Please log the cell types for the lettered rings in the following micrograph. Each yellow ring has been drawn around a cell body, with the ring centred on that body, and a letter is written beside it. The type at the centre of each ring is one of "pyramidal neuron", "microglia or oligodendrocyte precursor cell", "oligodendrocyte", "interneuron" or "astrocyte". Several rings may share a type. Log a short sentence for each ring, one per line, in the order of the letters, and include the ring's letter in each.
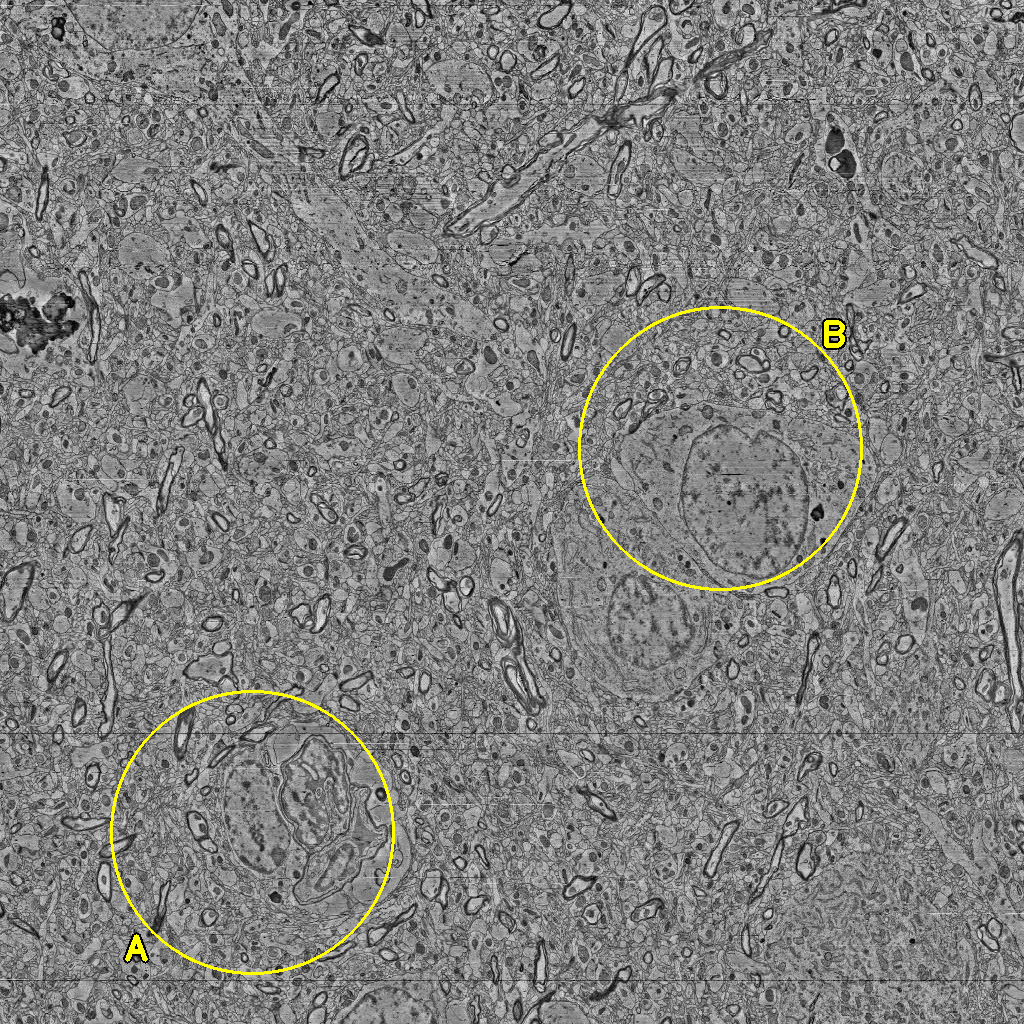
In ring A the central cell is a microglial cell or oligodendrocyte precursor cell.
In ring B the central cell is a pyramidal neuron.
